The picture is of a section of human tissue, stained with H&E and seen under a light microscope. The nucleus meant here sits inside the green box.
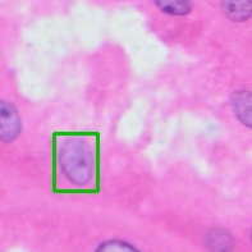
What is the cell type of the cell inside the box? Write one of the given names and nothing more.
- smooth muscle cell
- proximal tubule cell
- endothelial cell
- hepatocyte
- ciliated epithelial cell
proximal tubule cell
